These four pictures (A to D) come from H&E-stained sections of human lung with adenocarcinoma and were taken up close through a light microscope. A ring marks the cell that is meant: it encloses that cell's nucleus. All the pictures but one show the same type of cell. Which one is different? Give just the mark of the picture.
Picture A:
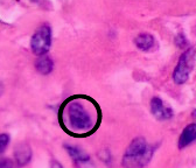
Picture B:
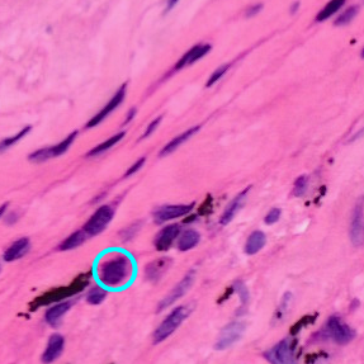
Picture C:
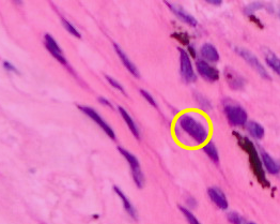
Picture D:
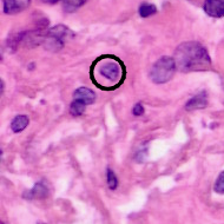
D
